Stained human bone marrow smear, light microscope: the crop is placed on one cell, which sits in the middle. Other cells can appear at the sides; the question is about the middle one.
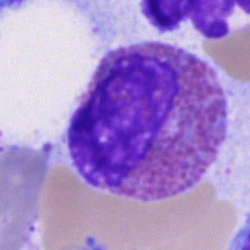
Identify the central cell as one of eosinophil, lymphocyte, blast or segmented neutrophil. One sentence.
At the middle of the frame sits an eosinophil.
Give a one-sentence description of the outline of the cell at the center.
Its outline is smooth, with no projections anywhere along the edge.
